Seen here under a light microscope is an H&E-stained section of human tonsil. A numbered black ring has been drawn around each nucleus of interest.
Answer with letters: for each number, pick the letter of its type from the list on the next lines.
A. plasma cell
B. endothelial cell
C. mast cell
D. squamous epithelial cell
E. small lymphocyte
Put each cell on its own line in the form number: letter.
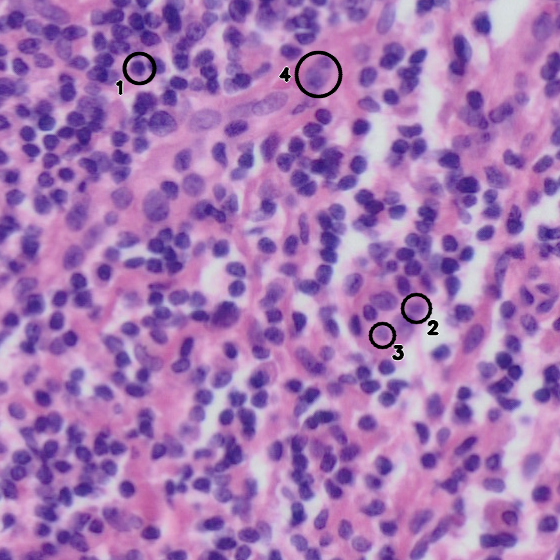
1: E
2: B
3: B
4: B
